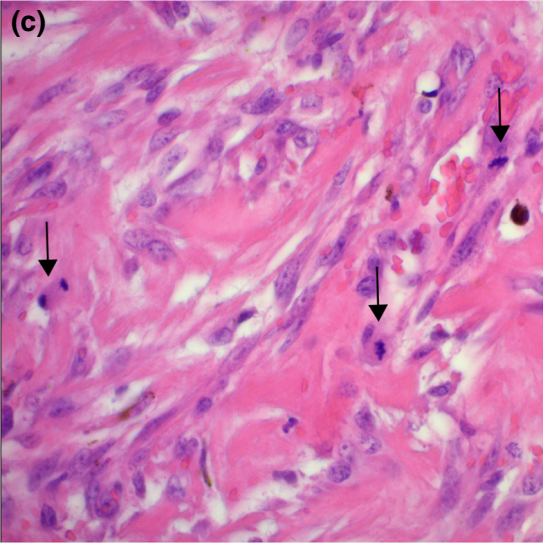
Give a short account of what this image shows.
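Spindle-shaped tumor cells with oval, centrally located, purple nuclei with vesicular chromatin and small nucleoli run in bundles among pink collagen-rich stroma. The cytoplasm is moderately eosinophilic and cell borders are indistinct. Several dense, dark purple mitotic figures are scattered among the cells, and red blood cells lie in nearby spaces.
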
